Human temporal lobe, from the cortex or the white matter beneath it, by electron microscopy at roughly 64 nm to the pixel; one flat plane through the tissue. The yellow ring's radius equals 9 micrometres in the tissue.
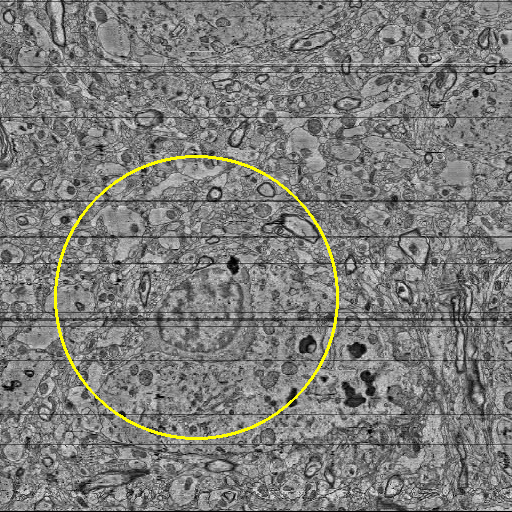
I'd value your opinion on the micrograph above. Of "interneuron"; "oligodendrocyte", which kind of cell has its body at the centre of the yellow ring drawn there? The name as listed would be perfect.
oligodendrocyte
